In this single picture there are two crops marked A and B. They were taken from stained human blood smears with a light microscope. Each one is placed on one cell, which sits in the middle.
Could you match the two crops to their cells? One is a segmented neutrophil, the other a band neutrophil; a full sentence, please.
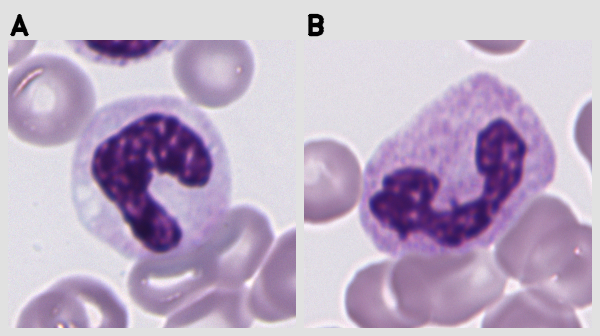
Crop A is a band neutrophil, while a segmented neutrophil is the cell in crop B.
